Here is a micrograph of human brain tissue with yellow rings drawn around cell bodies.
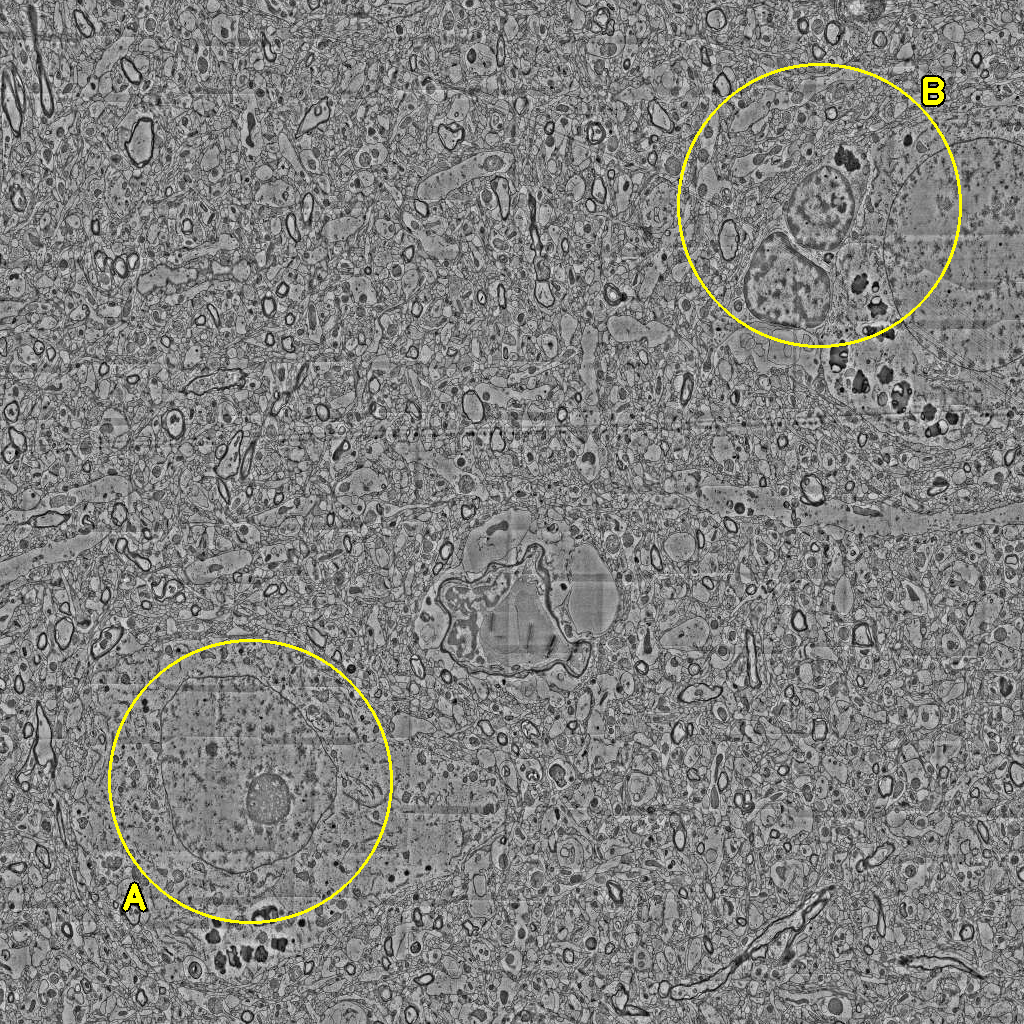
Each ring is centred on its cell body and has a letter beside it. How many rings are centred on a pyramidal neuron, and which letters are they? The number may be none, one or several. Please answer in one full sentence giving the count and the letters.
Only one ring, marked with A, has its centre on a pyramidal neuron.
